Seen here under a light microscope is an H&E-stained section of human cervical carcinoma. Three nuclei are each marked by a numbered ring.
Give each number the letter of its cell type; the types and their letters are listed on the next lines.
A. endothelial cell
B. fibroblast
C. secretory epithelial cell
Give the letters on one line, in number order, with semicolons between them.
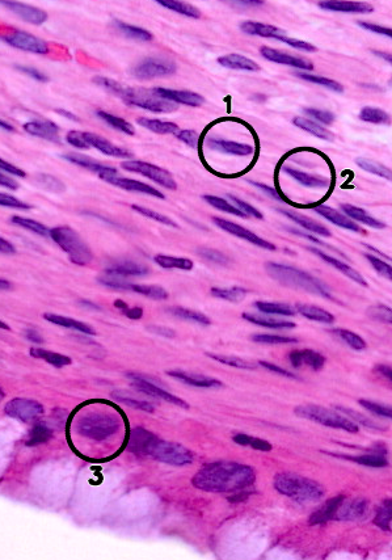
B; B; C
